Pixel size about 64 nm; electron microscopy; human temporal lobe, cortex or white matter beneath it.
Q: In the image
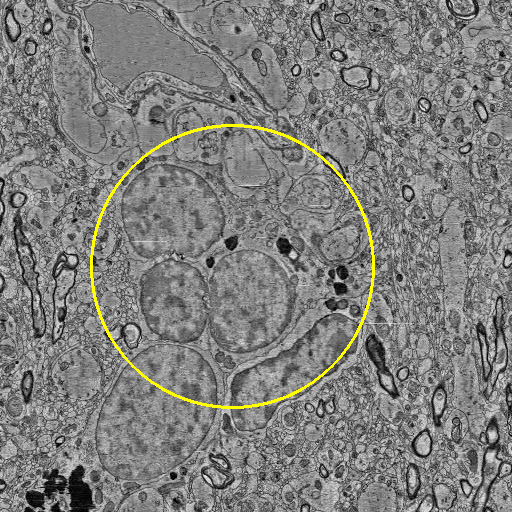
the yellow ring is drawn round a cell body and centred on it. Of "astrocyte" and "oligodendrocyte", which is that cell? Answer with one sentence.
The cell centred in the ring is an oligodendrocyte.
